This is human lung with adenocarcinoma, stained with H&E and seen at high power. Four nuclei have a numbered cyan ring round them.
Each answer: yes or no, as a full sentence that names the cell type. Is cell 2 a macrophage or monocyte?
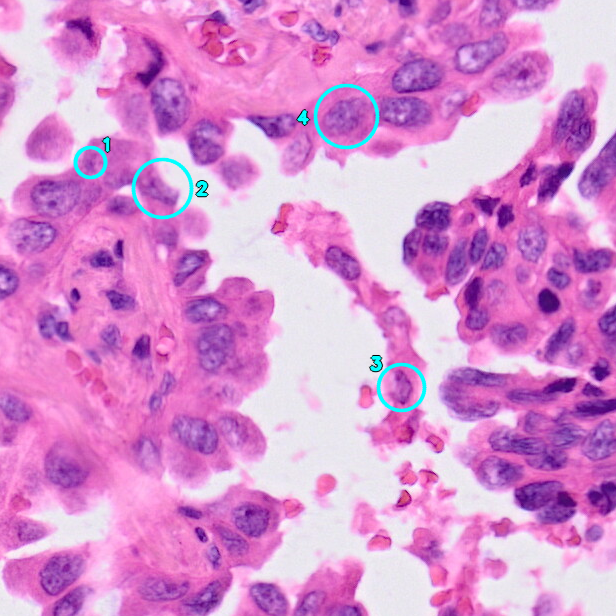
No, the cell at number 2 is a carcinoma cell instead of a macrophage or monocyte.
